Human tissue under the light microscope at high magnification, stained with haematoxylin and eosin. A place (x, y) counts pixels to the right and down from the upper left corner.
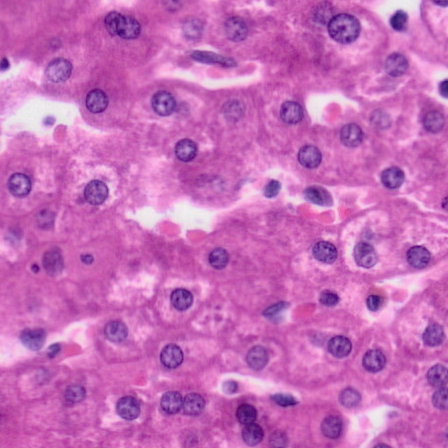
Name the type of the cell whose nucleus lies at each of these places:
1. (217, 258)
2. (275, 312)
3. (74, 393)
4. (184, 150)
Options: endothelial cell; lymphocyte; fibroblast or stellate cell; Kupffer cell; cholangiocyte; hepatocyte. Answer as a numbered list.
1. hepatocyte
2. endothelial cell
3. hepatocyte
4. hepatocyte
